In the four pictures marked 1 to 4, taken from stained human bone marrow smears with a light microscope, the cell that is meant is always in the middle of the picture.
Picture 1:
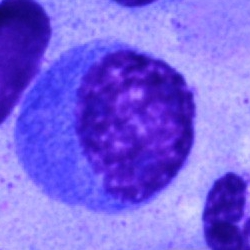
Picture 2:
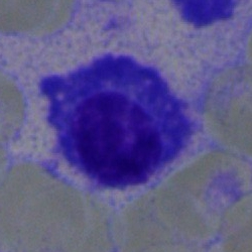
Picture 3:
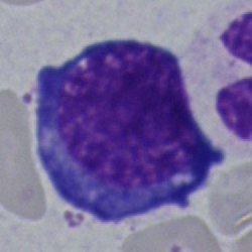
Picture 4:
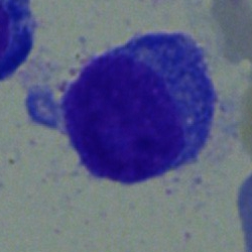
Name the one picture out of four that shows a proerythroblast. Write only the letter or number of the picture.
3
